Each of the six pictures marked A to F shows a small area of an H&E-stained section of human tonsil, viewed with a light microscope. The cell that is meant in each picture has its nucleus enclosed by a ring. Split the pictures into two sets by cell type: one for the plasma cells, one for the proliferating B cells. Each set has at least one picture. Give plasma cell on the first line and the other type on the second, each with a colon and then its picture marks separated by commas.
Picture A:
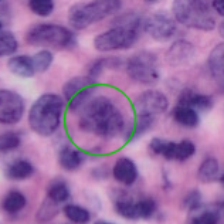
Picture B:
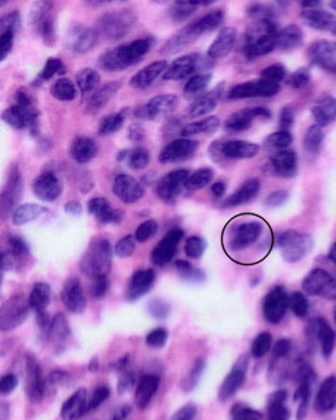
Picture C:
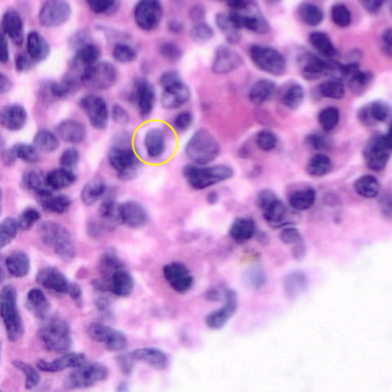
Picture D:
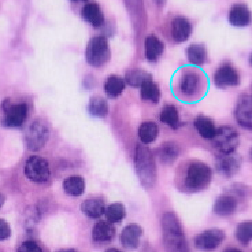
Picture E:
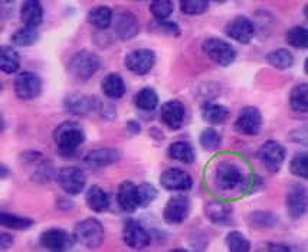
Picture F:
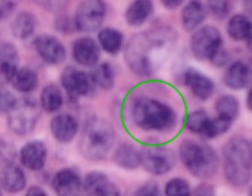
plasma cell: D, E
proliferating B cell: A, B, C, F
